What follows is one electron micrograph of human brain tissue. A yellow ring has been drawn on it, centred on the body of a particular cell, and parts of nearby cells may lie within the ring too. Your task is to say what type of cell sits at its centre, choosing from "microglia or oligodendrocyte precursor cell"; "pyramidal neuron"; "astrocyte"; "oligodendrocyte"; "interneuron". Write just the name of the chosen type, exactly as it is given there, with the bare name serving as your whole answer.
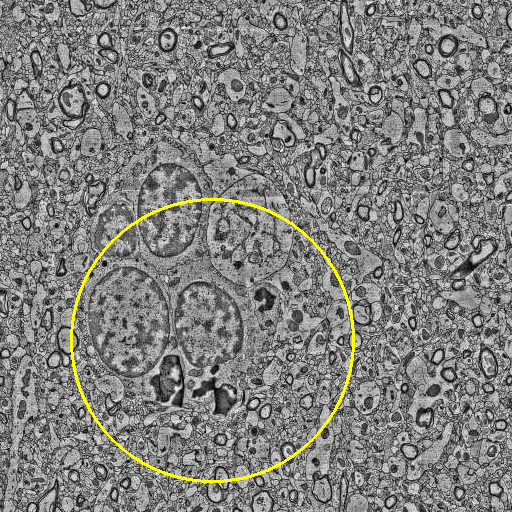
oligodendrocyte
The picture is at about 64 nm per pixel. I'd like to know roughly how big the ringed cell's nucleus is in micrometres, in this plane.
Roughly 5 by 4 micrometres in this plane, for the nucleus of the ringed cell.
